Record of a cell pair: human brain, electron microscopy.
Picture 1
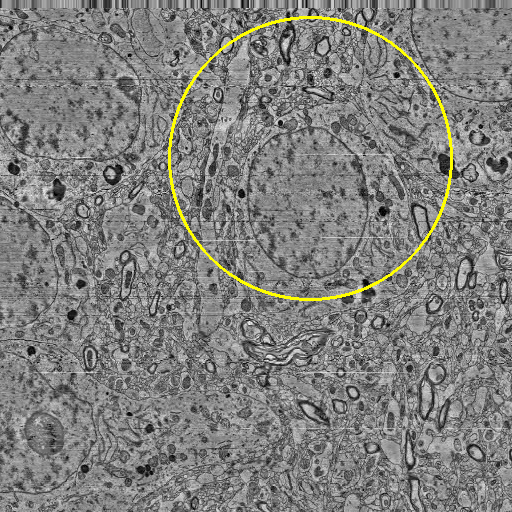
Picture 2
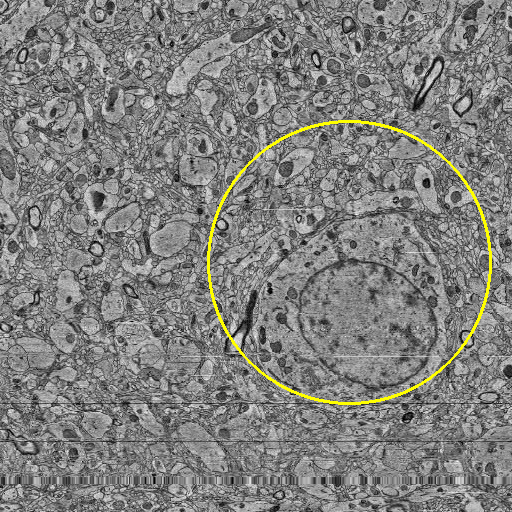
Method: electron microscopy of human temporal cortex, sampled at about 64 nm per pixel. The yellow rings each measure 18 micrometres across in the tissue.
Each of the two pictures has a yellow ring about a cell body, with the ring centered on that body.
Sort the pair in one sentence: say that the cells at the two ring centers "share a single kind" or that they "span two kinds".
The cells centered in the rings of Pictures 1 and 2 share a single kind.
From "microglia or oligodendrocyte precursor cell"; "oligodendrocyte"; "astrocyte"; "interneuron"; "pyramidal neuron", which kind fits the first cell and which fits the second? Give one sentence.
Each of the two rings is centred on a pyramidal neuron.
